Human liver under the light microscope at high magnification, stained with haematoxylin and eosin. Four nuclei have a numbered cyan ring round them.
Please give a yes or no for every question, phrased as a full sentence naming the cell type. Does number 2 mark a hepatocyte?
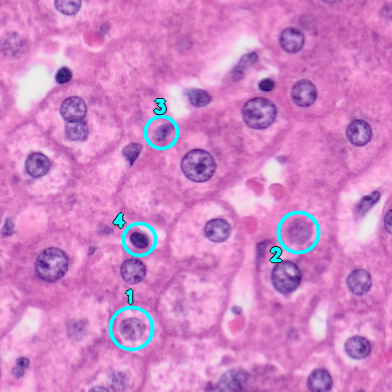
Yes, cell number 2 is classified as a hepatocyte.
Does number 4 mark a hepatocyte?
No, the cell labelled 4 is a lymphocyte and not a hepatocyte.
